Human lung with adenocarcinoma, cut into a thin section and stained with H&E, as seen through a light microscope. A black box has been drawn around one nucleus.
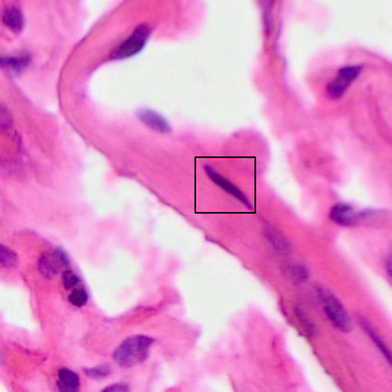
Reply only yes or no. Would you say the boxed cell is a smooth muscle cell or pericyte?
no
